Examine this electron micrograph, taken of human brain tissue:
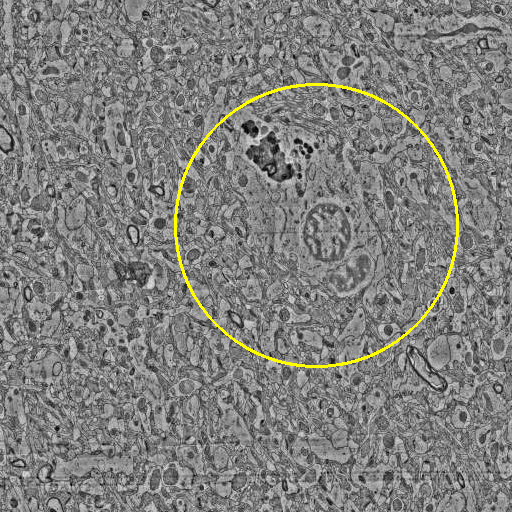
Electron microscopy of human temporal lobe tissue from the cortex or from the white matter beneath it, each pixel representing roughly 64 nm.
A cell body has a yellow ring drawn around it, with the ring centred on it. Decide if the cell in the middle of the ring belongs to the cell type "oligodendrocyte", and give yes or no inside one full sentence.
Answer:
No, the cell at the centre of the yellow ring in this picture is of a different type.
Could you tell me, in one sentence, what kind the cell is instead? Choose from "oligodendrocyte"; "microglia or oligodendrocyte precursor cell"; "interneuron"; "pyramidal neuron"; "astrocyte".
Instead, the ring in this picture marks an astrocyte.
